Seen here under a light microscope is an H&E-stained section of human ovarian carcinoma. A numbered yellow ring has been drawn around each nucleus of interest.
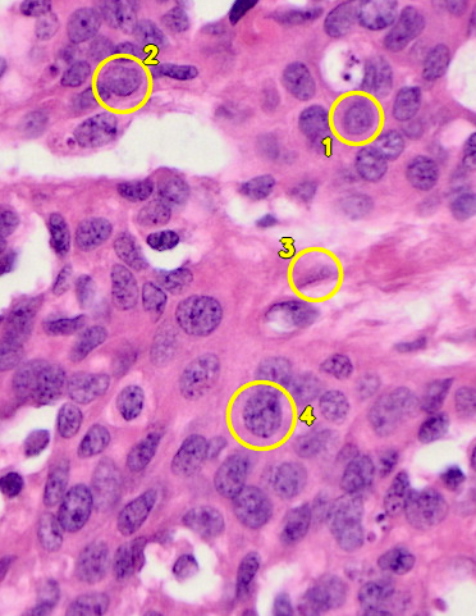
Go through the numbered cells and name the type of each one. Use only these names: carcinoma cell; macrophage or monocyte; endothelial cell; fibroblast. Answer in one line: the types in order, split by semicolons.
carcinoma cell; carcinoma cell; fibroblast; carcinoma cell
